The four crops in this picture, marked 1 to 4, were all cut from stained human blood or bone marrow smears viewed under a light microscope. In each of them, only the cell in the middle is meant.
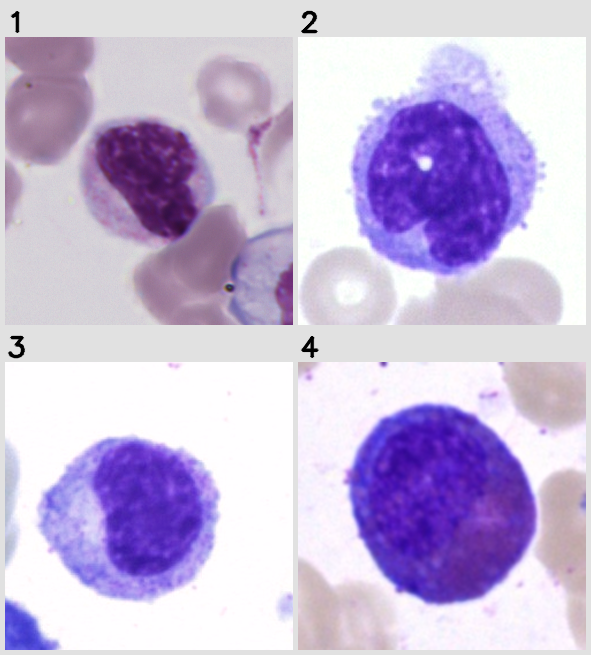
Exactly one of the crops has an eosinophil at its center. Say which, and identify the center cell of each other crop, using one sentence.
Inside crop 4 there is an eosinophil, while crop 1 is a band neutrophil, crop 2 is a monocyte and crop 3 is a metamyelocyte.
